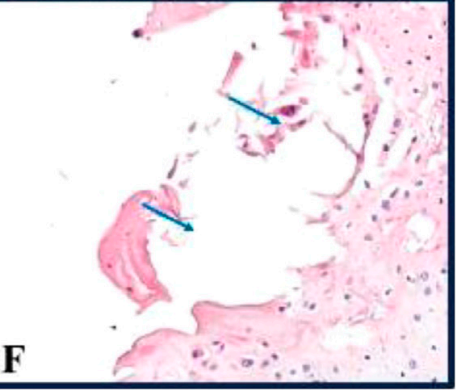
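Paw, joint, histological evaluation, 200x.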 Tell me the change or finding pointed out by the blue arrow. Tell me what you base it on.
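The arrows point to ragged, broken fragments of pink tissue at the edge of a wide empty space. The surface is irregular and fragmented rather than a smooth layer. That points to this answer: cartilage erosions with disintegrated tissue.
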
